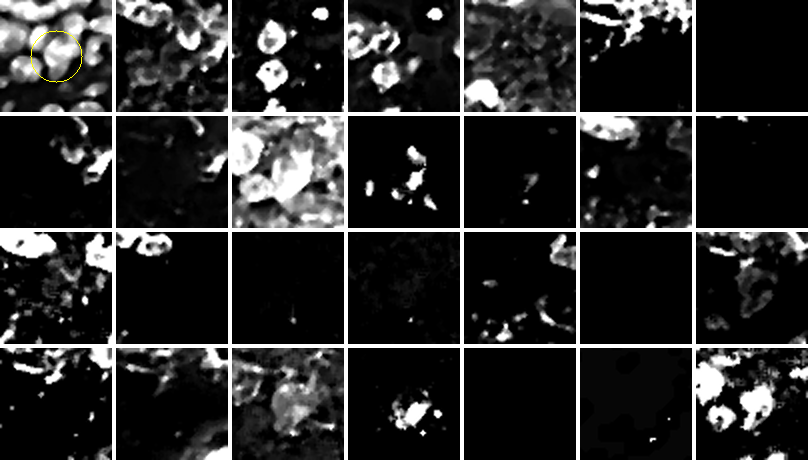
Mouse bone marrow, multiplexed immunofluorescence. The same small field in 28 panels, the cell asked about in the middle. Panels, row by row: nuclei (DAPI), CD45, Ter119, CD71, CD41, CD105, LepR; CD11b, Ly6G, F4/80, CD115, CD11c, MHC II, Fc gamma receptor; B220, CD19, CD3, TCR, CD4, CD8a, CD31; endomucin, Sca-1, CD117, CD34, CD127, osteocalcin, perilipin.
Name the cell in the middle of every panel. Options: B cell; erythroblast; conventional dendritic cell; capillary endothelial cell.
erythroblast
